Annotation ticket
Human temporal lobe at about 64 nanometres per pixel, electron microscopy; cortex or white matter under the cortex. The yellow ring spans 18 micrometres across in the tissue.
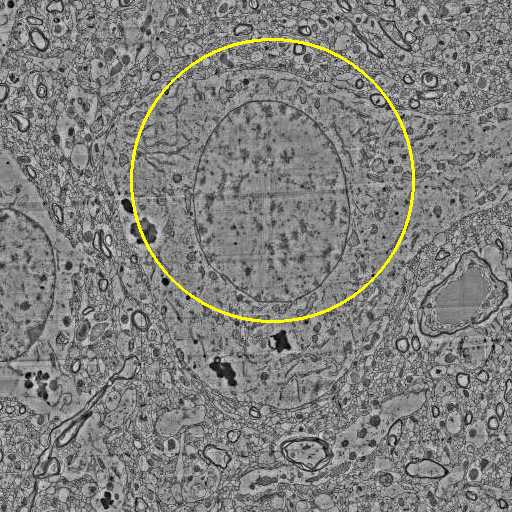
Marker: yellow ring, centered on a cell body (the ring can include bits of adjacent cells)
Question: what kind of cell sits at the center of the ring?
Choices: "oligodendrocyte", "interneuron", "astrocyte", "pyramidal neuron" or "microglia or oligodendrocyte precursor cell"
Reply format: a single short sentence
The ring is centered on a pyramidal neuron.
